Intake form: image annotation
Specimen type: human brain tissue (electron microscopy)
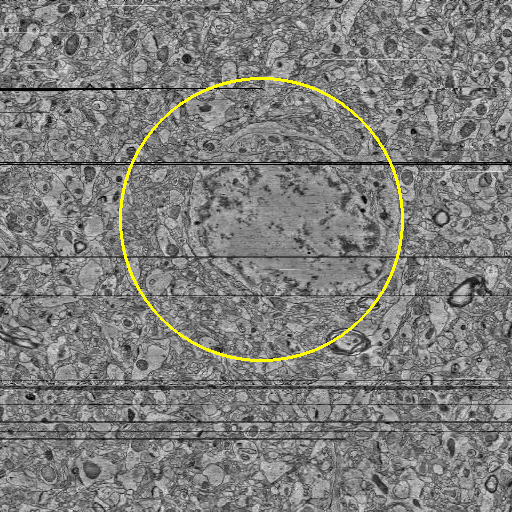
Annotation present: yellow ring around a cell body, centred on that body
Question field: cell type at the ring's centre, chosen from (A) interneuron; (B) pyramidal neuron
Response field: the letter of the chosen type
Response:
A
